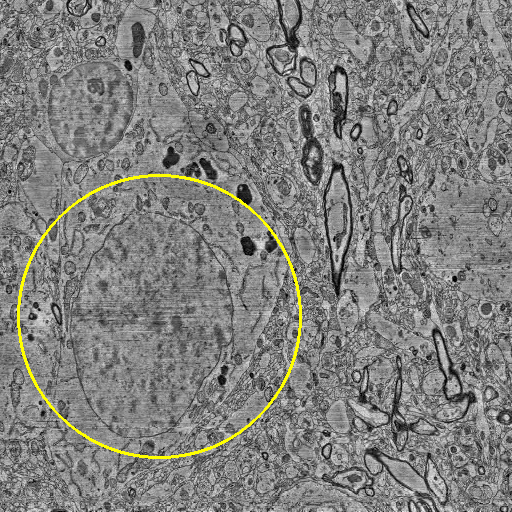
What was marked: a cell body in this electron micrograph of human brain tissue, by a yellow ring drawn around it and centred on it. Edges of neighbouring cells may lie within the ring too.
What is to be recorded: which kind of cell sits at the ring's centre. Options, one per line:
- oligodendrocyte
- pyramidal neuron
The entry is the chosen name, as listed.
pyramidal neuron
